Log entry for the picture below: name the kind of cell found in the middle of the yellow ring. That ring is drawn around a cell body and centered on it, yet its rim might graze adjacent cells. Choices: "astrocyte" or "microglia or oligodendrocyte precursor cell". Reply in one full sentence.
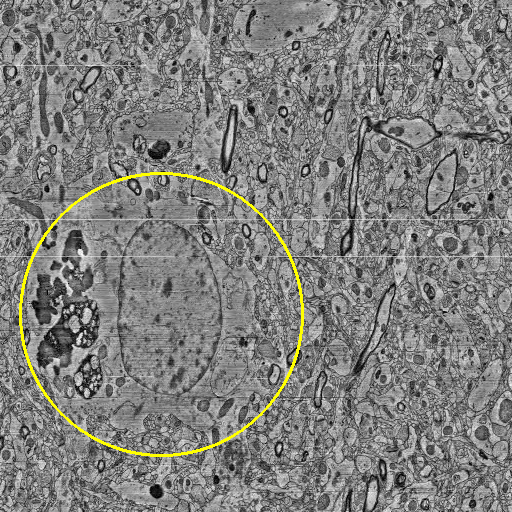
The cell in the middle of the yellow ring in this picture is an astrocyte.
